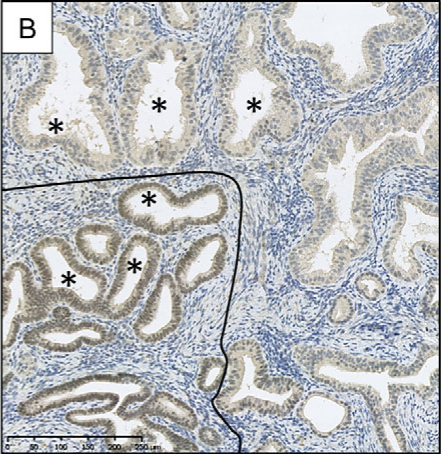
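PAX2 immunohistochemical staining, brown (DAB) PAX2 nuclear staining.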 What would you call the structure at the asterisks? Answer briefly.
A: glands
